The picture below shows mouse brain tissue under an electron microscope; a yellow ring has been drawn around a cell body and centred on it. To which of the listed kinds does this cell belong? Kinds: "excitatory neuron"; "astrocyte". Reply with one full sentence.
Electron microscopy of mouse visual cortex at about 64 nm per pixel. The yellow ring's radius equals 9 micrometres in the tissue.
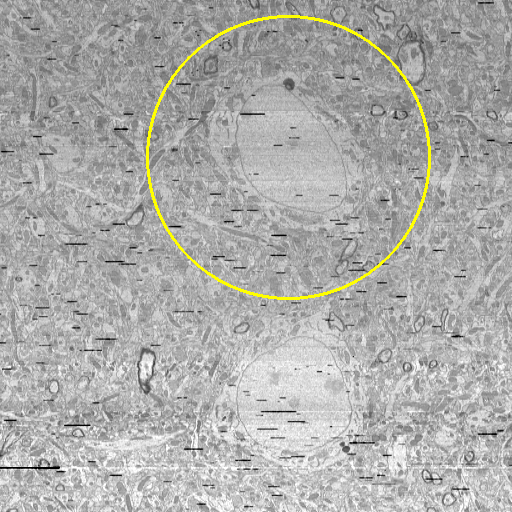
It is an excitatory neuron that the yellow ring in the picture is centred on.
